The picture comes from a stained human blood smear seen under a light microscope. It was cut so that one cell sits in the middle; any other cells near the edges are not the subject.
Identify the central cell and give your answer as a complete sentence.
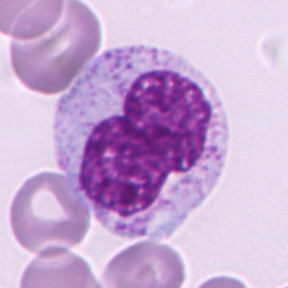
The cell centered in this field of view is a band neutrophil.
